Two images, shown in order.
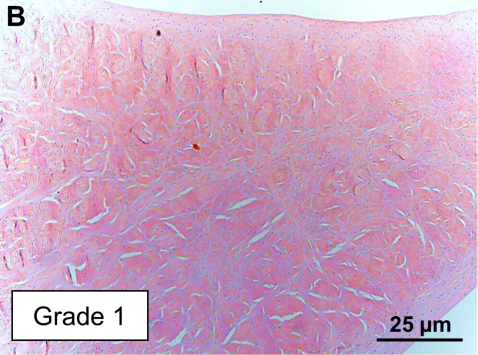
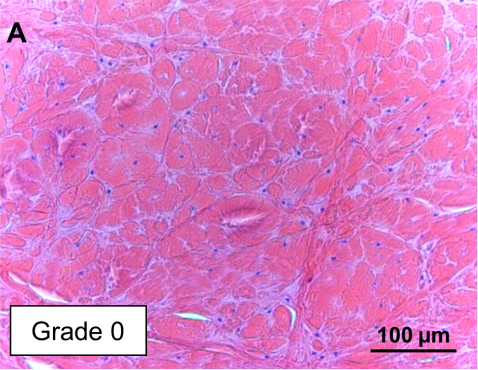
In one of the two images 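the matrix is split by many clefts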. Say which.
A: the first image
